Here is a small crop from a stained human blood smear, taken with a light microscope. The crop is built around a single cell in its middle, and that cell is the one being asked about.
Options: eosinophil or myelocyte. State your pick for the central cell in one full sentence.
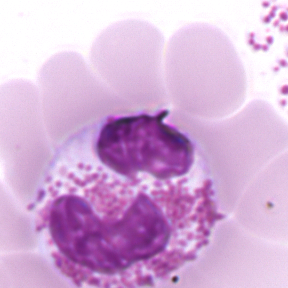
What the crop centres on is an eosinophil.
